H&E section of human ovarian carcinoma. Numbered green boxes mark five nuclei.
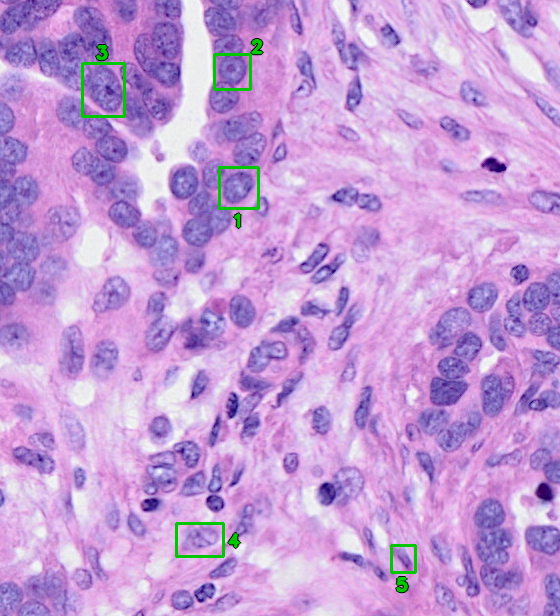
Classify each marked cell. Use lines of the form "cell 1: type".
cell 1: carcinoma cell
cell 2: carcinoma cell
cell 3: carcinoma cell
cell 4: fibroblast
cell 5: fibroblast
